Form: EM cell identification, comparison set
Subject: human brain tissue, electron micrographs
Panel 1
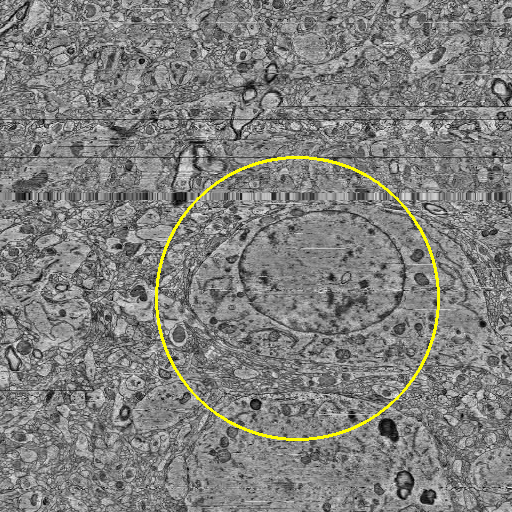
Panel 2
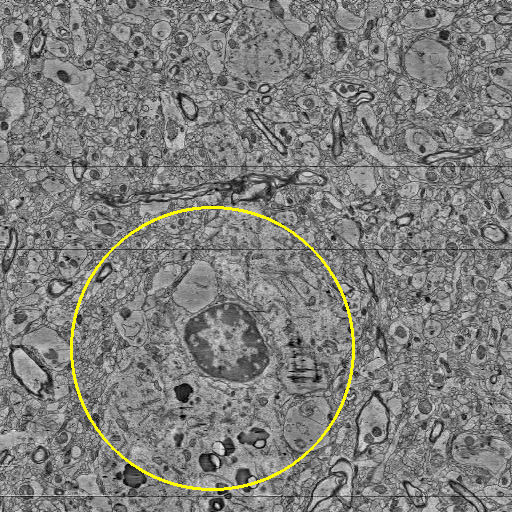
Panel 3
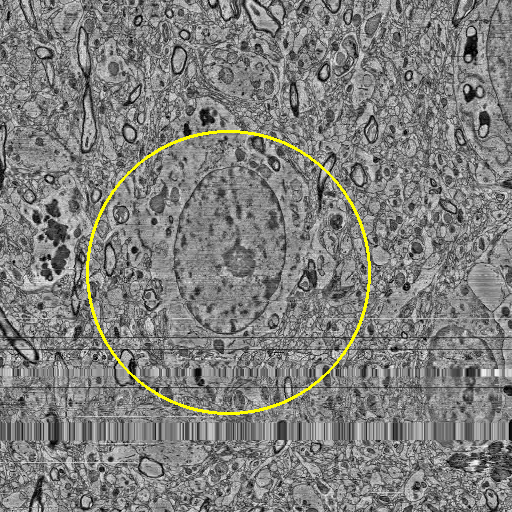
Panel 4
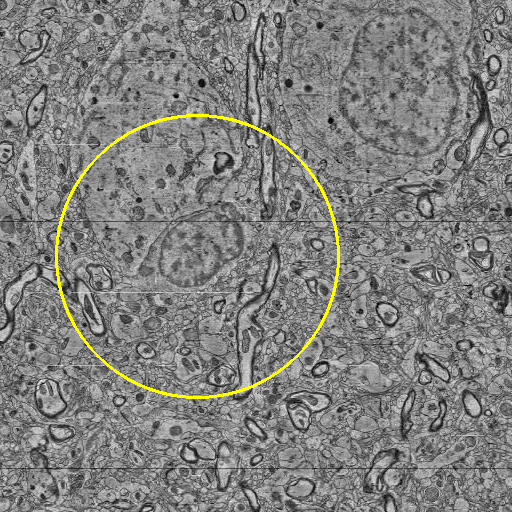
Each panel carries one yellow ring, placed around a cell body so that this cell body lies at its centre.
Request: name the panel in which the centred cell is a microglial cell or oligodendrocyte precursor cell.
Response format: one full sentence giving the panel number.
Panel 2 has it at the centre of its ring.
